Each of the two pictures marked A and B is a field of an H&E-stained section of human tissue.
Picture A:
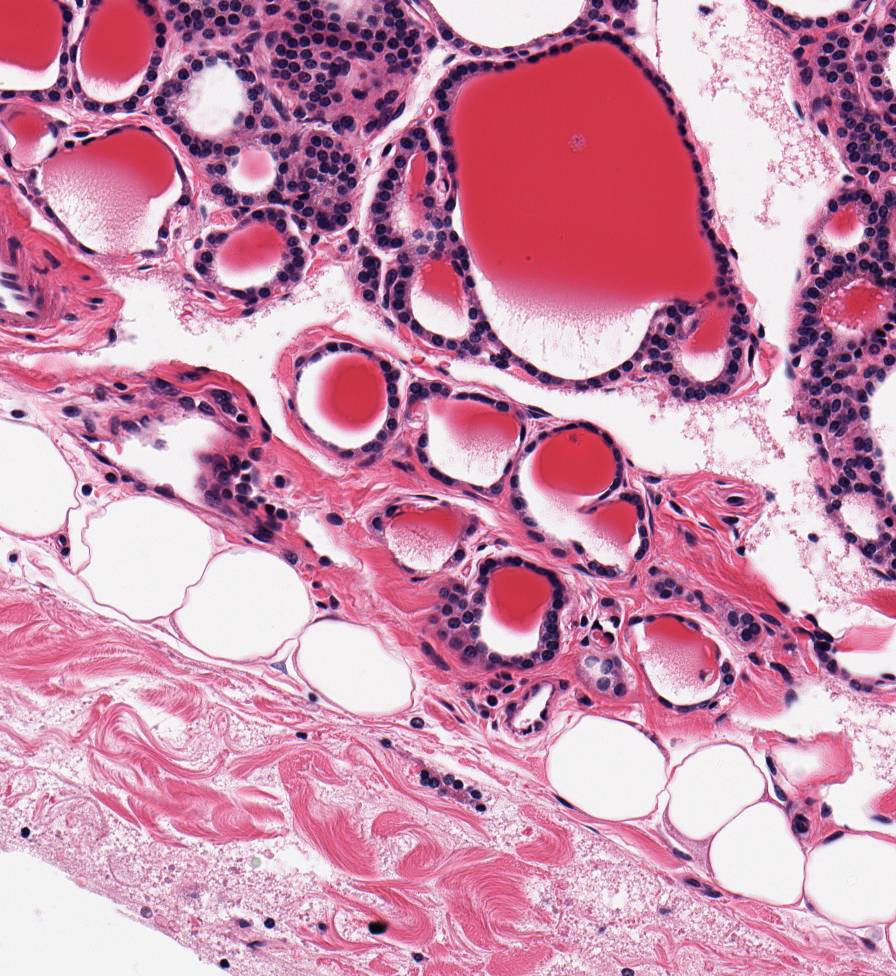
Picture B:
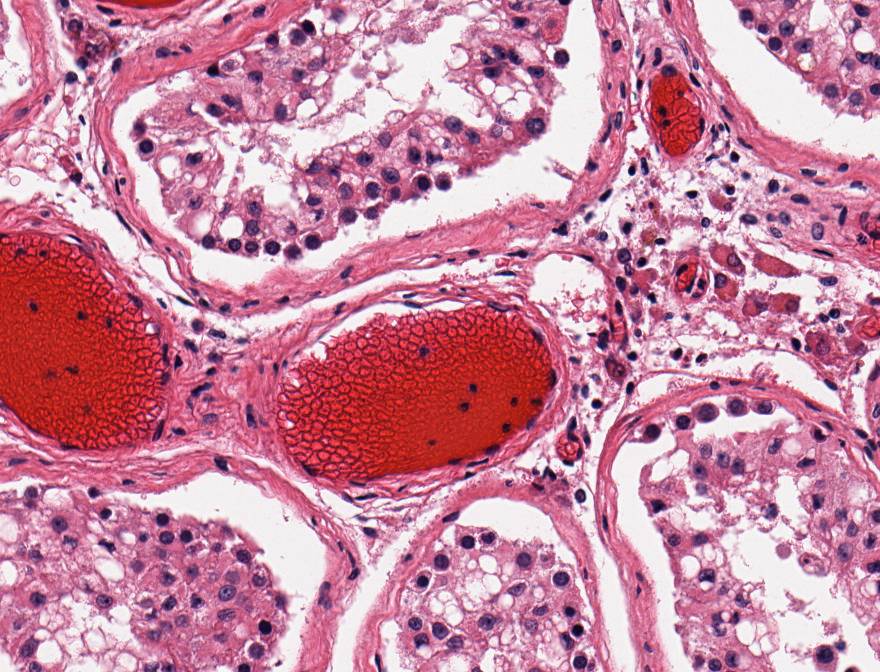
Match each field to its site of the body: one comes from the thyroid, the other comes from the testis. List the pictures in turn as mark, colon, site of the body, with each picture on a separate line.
A: thyroid
B: testis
